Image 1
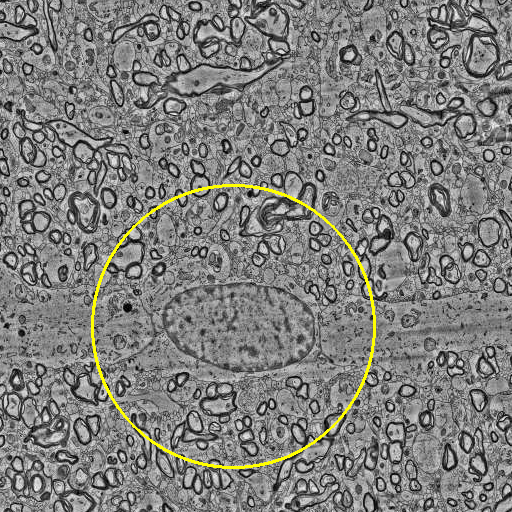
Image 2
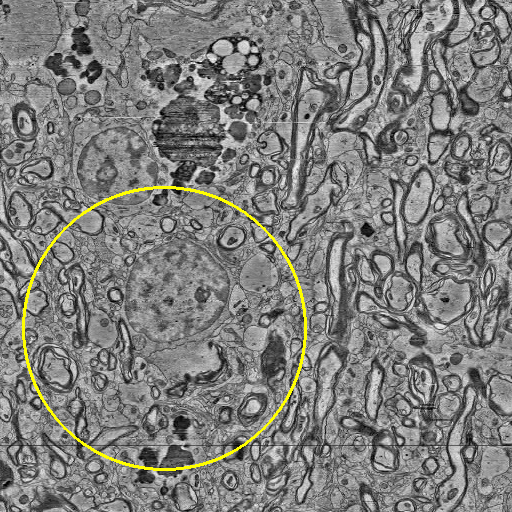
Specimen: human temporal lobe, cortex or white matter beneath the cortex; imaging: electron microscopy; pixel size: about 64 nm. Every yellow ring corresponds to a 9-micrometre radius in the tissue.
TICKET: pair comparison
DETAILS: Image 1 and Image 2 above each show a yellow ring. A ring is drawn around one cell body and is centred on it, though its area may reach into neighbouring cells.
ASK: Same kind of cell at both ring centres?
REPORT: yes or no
no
